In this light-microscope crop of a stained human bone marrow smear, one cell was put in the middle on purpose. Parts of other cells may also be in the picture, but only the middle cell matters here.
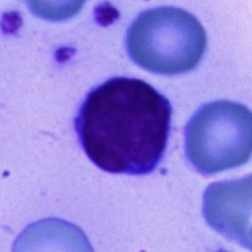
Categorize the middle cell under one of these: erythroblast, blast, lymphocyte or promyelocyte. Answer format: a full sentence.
The crop shows a lymphocyte in its centre.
